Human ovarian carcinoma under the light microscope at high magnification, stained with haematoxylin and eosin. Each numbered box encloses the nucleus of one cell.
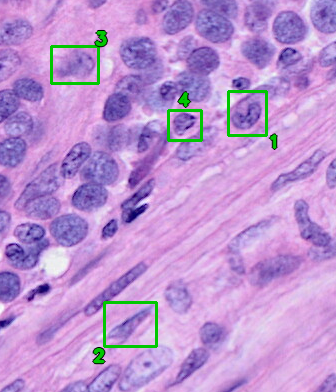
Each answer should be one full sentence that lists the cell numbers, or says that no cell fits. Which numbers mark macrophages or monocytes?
To be specific, the cells numbered 1 and 4 are macrophages or monocytes.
